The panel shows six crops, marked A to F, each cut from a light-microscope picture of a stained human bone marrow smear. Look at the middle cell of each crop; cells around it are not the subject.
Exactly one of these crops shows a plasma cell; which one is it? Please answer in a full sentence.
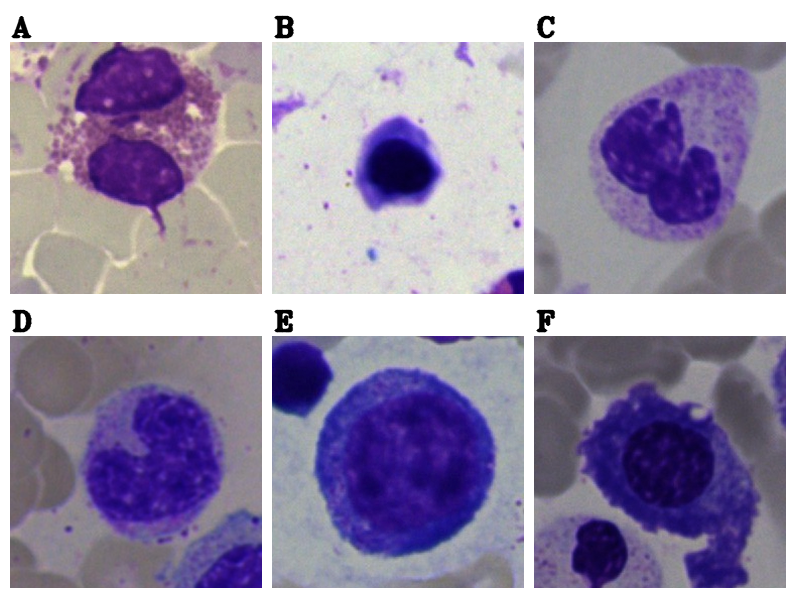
That would be crop F; it shows a plasma cell.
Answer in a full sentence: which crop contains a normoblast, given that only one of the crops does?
Of the labeled crops, the one with a normoblast is crop B.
